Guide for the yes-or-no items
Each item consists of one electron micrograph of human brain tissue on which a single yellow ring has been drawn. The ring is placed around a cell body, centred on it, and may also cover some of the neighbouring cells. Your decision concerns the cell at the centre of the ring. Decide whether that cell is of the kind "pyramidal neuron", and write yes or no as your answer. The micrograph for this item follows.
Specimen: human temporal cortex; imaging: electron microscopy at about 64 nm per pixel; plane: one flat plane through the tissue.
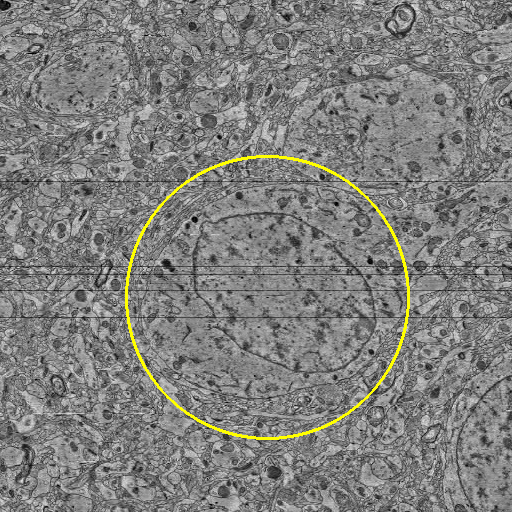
yes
